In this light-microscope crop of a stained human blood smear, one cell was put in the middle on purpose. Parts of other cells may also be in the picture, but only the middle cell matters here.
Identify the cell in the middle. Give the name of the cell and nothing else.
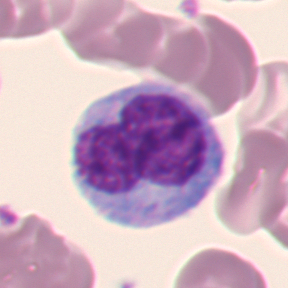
monocyte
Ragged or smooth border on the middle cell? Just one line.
There are no projections here; the outline is simply smooth.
